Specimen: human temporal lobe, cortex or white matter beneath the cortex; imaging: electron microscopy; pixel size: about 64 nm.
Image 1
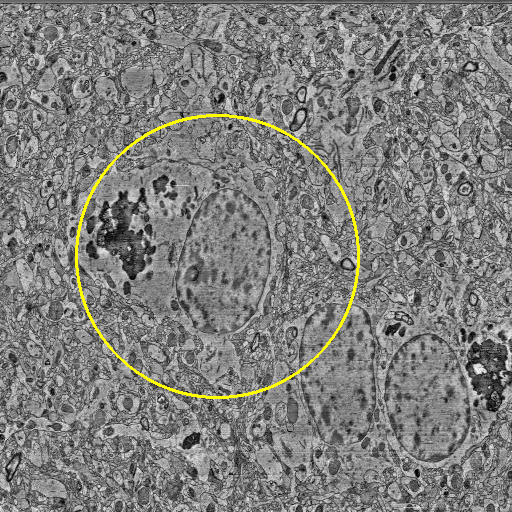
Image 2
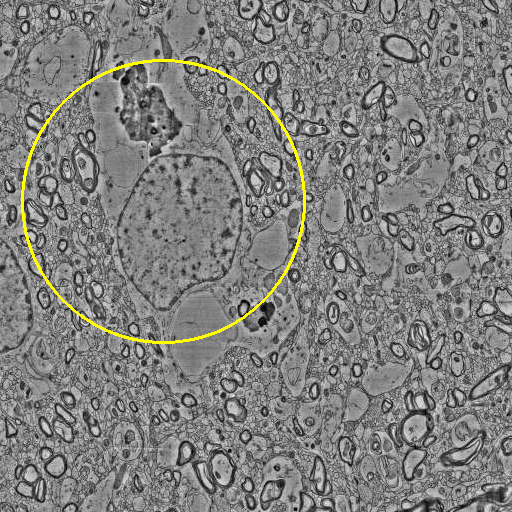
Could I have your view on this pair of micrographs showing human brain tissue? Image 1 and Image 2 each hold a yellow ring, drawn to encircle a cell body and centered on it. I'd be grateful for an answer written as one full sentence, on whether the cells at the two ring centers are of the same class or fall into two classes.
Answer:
The cells at the centers of the two rings are of the same class.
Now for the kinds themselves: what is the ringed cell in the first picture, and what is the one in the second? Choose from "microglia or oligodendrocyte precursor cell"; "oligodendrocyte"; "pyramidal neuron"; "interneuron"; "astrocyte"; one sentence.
Each of the two rings surrounds an astrocyte.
